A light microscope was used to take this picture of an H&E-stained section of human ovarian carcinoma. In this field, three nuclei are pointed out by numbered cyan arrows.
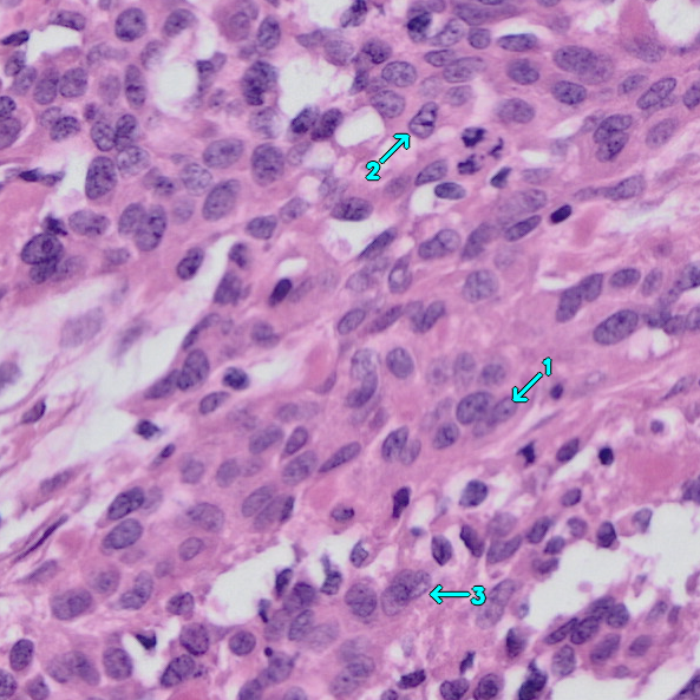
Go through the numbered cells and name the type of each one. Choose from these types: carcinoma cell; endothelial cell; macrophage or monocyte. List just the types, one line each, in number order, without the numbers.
carcinoma cell
macrophage or monocyte
carcinoma cell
